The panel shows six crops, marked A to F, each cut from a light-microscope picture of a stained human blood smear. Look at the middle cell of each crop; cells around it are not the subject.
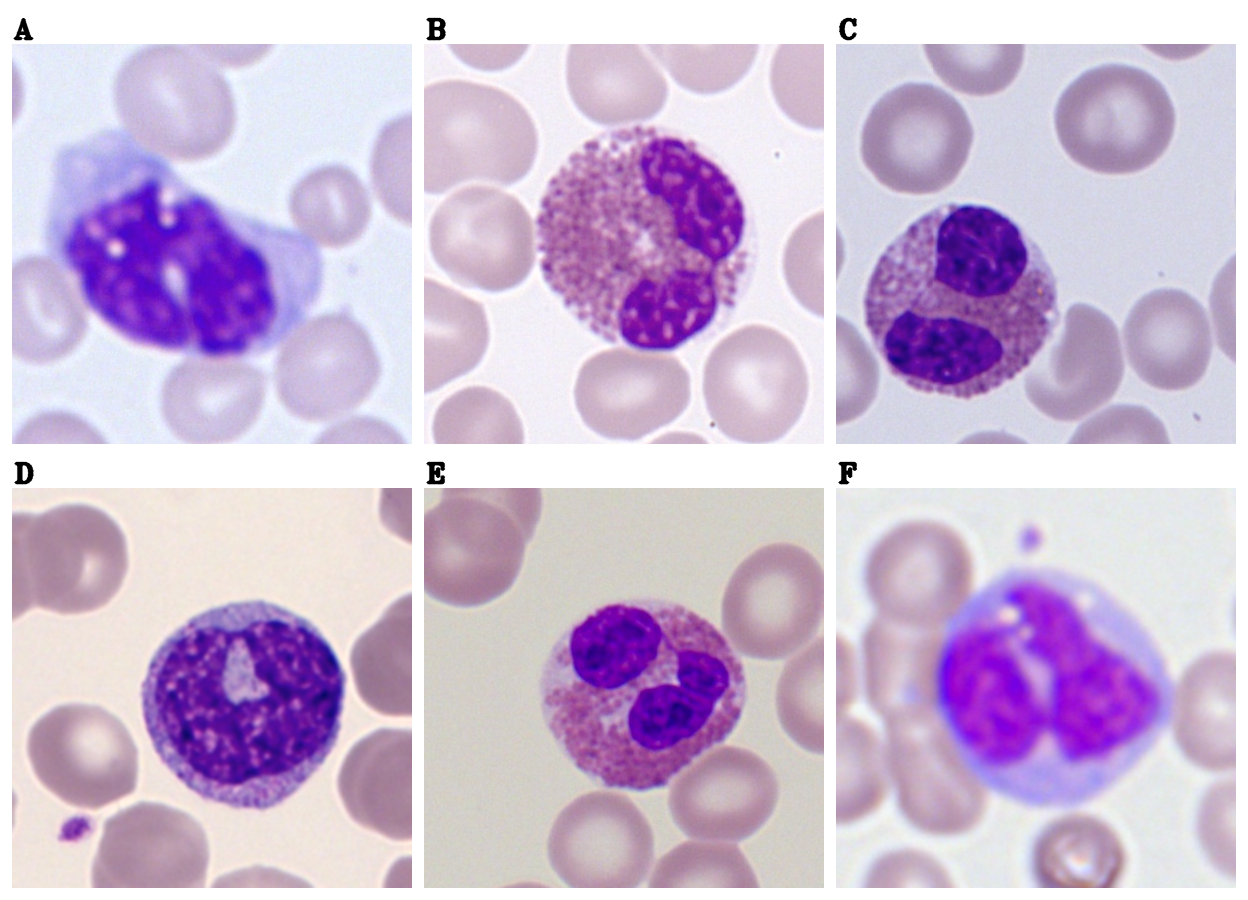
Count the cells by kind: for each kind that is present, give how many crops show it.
monocyte: 3
eosinophil: 3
